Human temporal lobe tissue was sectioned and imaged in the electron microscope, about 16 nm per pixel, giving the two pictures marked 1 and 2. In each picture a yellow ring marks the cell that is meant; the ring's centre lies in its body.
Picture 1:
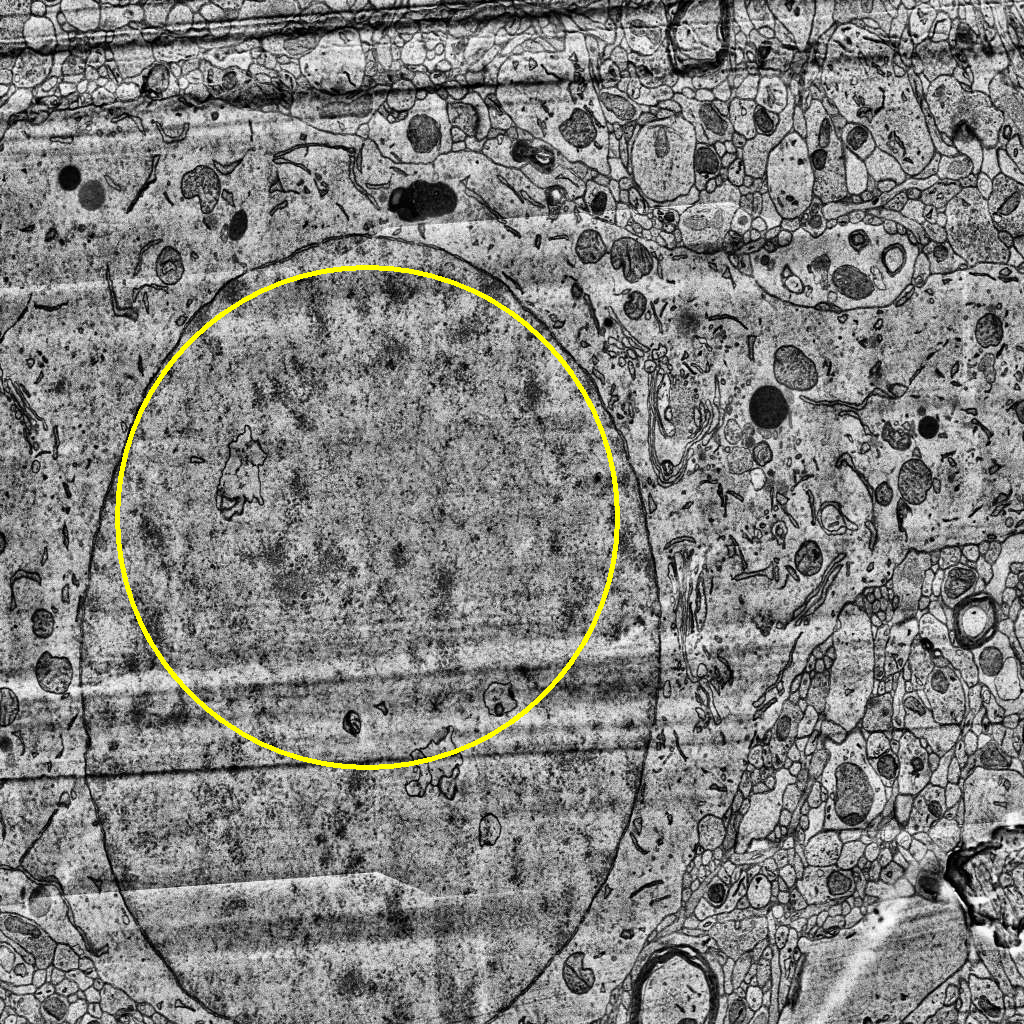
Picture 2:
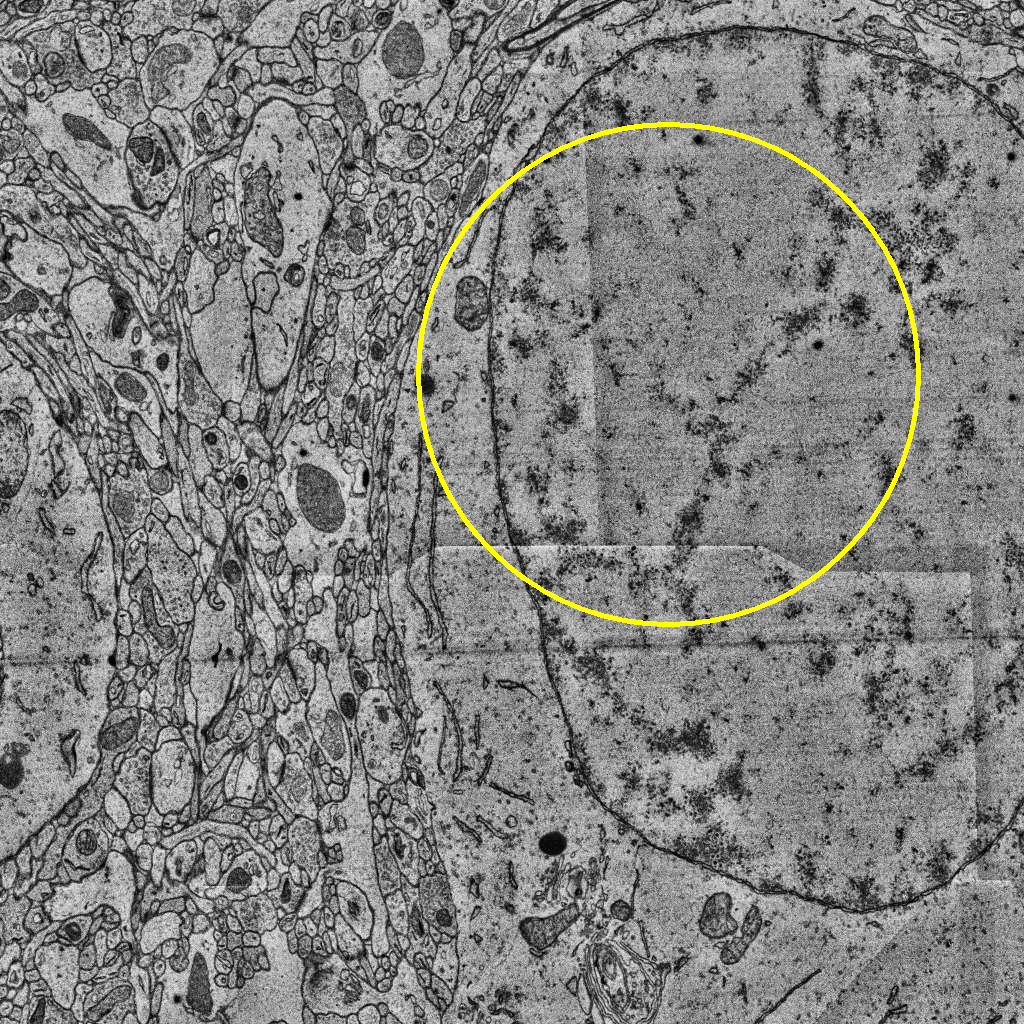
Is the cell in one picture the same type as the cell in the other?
Yes, the two pictures both show pyramidal neurons.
